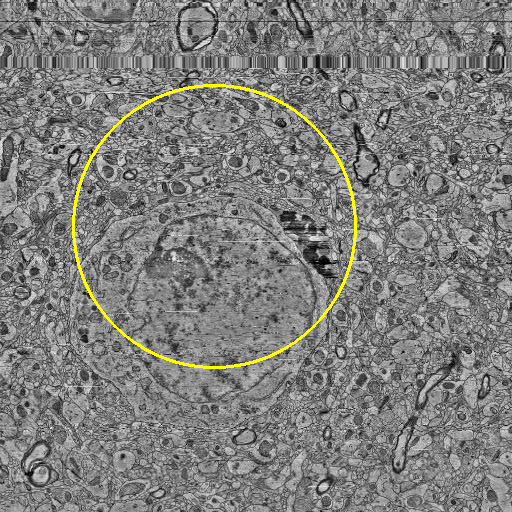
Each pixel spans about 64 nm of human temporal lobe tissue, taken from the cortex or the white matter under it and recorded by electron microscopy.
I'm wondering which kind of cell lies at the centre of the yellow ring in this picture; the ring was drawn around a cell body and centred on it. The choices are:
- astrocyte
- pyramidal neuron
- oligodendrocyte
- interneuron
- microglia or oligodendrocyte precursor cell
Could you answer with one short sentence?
At the centre of the ring lies an interneuron.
